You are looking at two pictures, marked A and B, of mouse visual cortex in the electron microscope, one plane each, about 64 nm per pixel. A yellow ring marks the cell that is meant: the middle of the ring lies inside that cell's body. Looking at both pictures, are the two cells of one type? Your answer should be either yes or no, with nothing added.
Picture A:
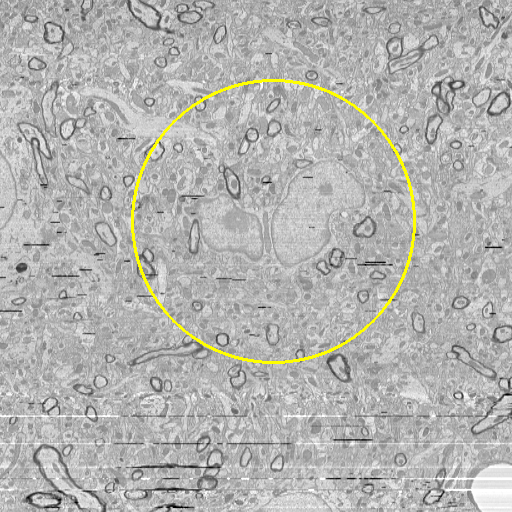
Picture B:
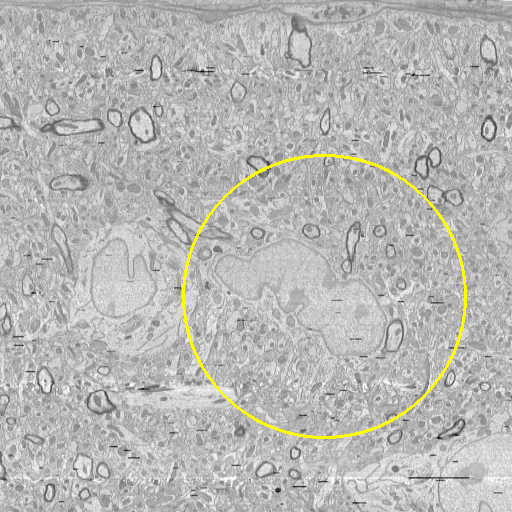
yes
